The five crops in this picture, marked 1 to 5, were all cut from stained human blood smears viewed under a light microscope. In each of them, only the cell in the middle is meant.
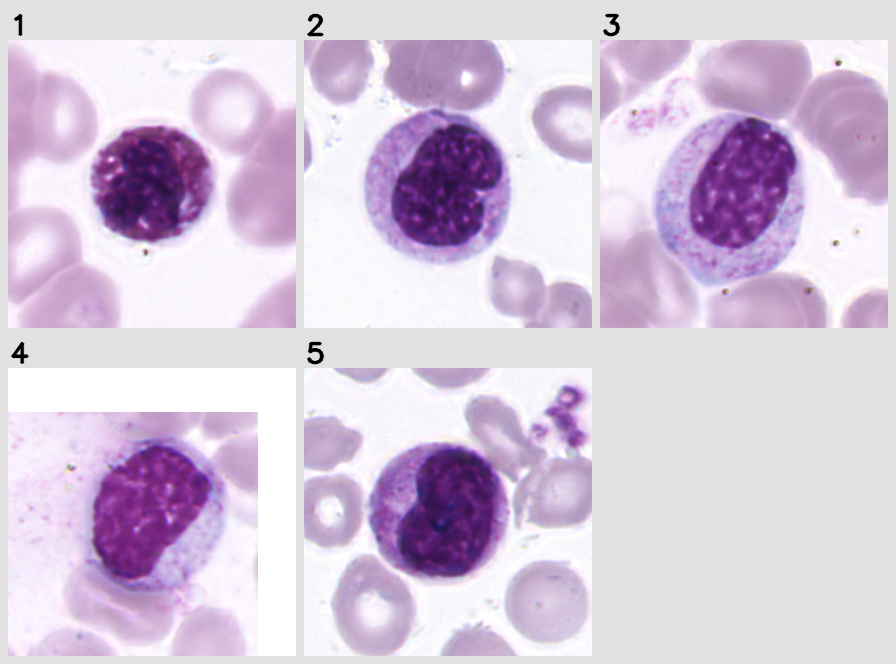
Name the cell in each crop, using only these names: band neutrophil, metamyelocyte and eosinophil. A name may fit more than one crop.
1: eosinophil
2: metamyelocyte
3: metamyelocyte
4: metamyelocyte
5: metamyelocyte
